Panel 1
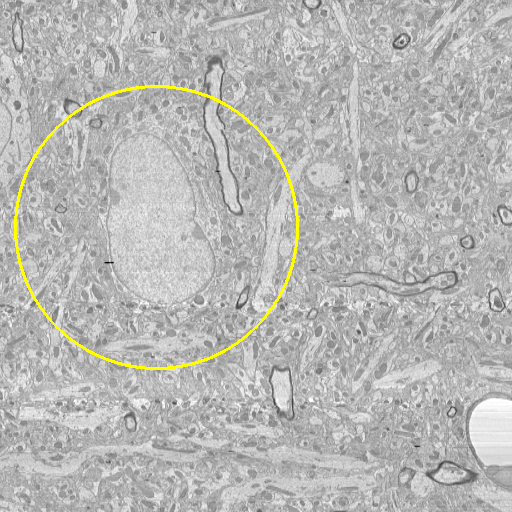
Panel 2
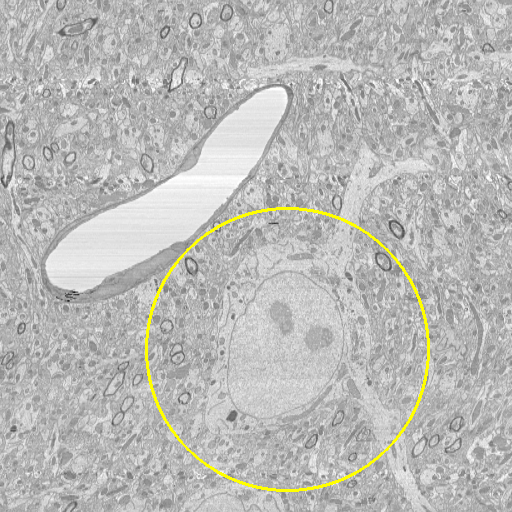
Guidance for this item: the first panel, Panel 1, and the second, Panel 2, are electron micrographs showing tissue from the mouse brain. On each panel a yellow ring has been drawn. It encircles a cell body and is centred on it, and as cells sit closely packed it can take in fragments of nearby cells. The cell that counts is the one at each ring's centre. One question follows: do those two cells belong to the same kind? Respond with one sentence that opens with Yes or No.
No, the cells at the ring centres in Panel 1 and Panel 2 are of two kinds.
